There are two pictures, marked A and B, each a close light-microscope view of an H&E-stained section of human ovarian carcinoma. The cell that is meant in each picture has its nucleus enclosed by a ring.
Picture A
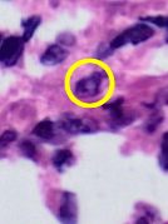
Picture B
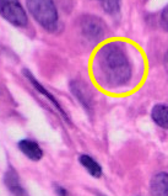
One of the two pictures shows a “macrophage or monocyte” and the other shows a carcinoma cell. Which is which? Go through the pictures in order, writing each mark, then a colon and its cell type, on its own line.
A: macrophage or monocyte
B: carcinoma cell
